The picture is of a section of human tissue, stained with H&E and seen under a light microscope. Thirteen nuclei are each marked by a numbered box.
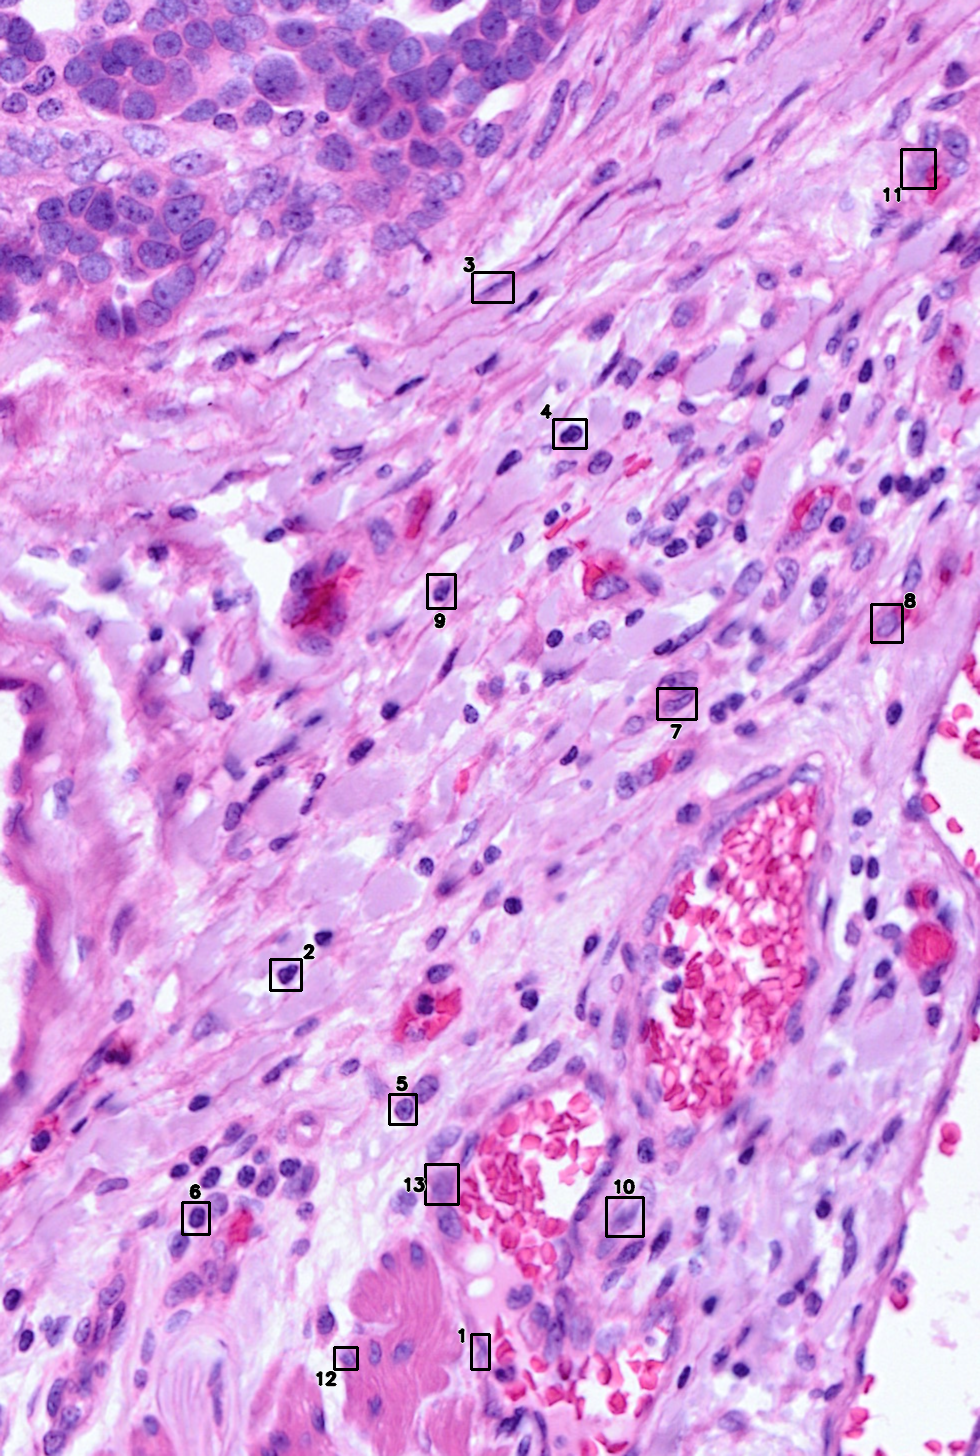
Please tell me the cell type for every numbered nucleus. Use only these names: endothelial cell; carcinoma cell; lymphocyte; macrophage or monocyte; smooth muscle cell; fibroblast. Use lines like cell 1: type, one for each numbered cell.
cell 1: endothelial cell
cell 2: lymphocyte
cell 3: fibroblast
cell 4: lymphocyte
cell 5: lymphocyte
cell 6: lymphocyte
cell 7: endothelial cell
cell 8: endothelial cell
cell 9: lymphocyte
cell 10: fibroblast
cell 11: endothelial cell
cell 12: smooth muscle cell
cell 13: endothelial cell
